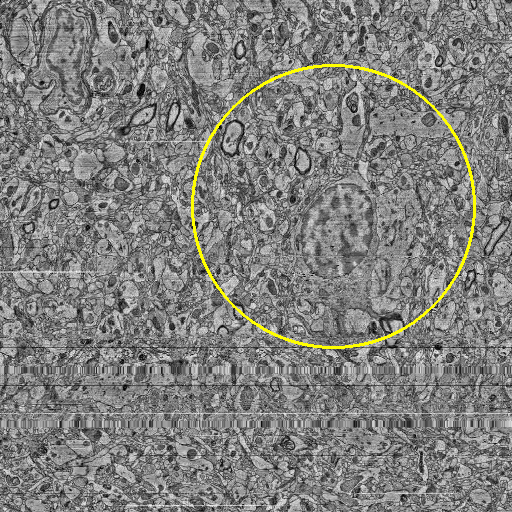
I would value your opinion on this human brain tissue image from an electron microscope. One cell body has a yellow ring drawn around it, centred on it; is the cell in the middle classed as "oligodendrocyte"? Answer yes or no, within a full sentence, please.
Yes, I would class the cell in the middle of the ring as that kind.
